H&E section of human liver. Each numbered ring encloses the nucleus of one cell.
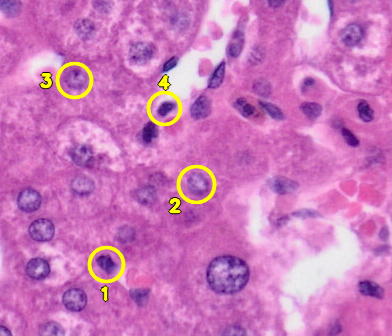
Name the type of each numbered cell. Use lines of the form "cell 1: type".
cell 1: fibroblast or stellate cell
cell 2: hepatocyte
cell 3: hepatocyte
cell 4: lymphocyte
